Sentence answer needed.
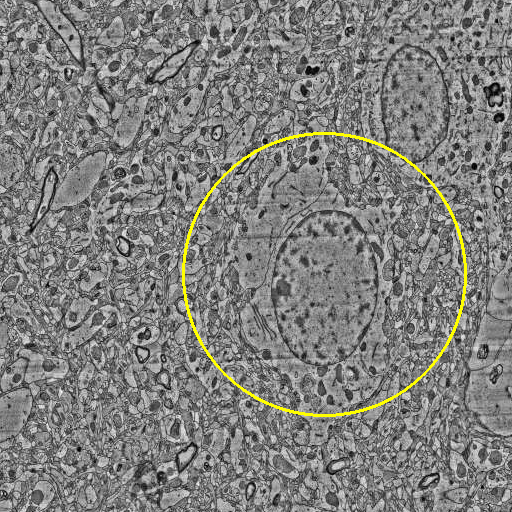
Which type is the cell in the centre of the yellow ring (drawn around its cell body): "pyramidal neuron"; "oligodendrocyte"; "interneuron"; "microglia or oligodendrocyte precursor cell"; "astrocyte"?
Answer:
In the centre of the yellow ring is an astrocyte.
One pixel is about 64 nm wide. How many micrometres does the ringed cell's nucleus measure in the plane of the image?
About 10 by 7 micrometers for the nucleus, in this plane.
